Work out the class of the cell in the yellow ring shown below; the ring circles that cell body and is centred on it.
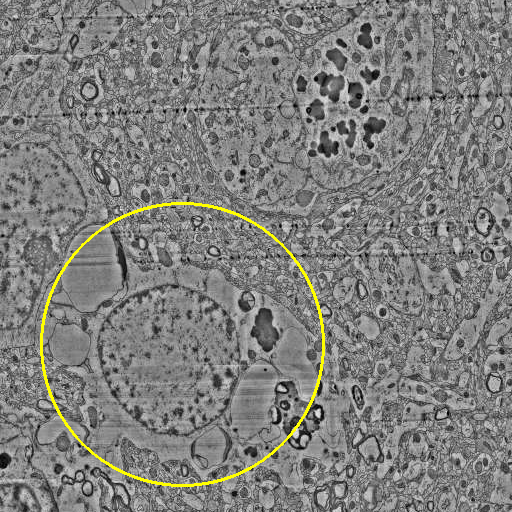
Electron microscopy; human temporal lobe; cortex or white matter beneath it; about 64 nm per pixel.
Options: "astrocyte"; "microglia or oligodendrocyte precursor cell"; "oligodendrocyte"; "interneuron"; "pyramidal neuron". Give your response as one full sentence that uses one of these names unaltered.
The body ringed in yellow, right at the ring's centre, is that of an astrocyte.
